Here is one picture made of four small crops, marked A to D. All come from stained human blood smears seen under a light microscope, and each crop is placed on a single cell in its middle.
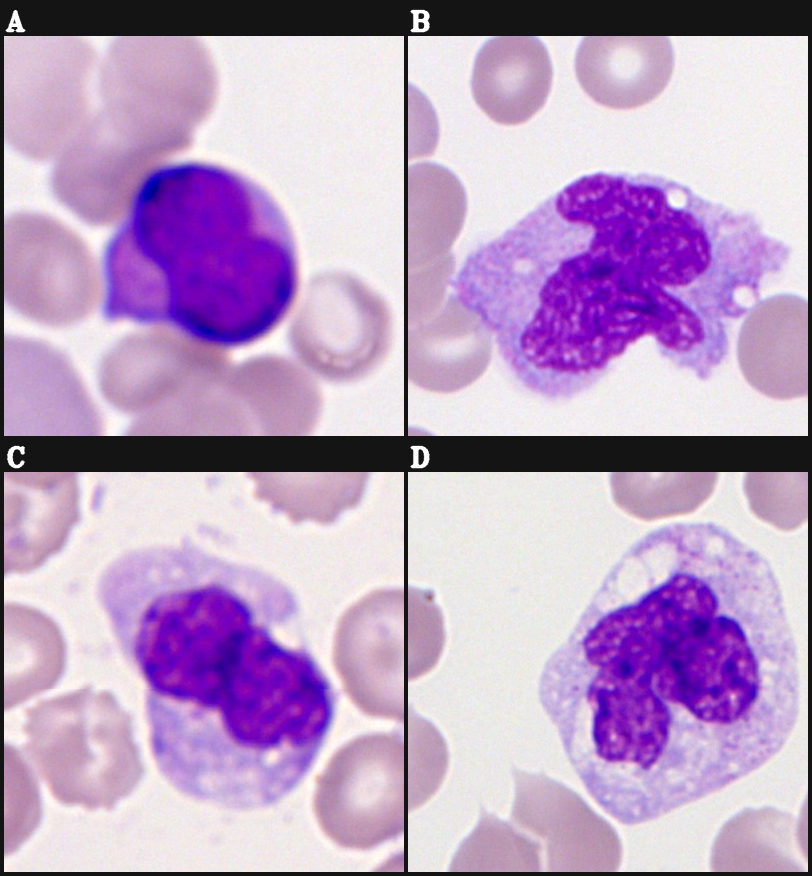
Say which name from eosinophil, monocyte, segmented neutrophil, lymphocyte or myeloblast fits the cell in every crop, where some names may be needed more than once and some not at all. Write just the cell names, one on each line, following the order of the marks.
myeloblast
monocyte
monocyte
monocyte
